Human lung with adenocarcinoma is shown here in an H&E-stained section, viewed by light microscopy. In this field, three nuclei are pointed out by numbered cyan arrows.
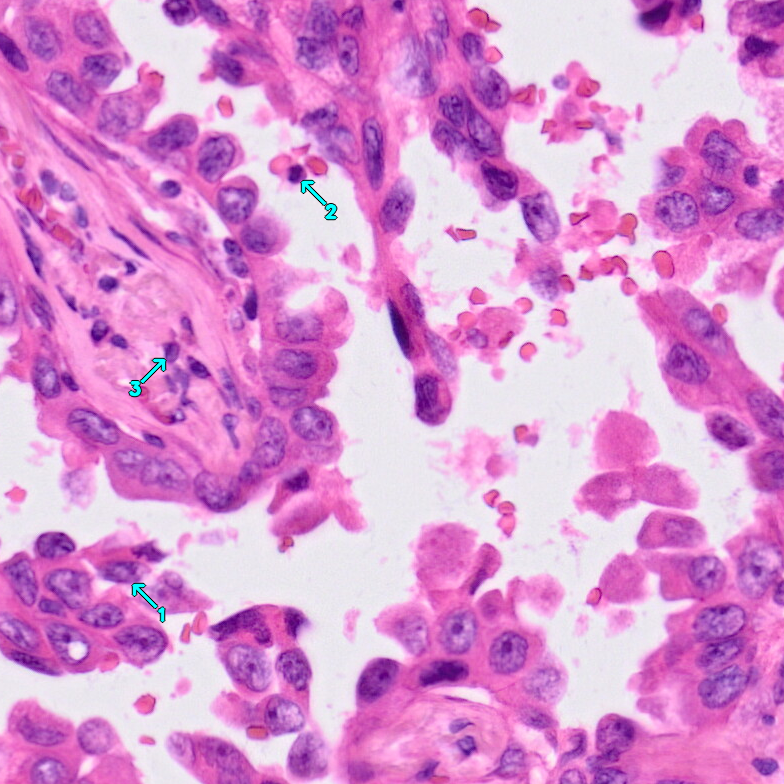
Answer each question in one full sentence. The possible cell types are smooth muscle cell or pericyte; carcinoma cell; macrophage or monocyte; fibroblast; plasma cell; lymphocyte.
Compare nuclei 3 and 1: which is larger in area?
The larger nucleus is 1, at roughly 3 times the area of 3.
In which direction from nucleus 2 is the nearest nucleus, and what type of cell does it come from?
The closest nucleus belongs to a carcinoma cell and sits above and to the right of nucleus 2.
